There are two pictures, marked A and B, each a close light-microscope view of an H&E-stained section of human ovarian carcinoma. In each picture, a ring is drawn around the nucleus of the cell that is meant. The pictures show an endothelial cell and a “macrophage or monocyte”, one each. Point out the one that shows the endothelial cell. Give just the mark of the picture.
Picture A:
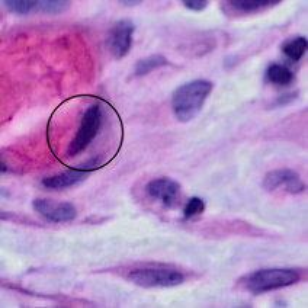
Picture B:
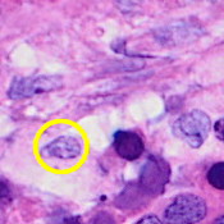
A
